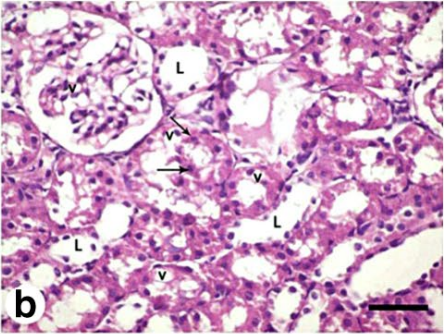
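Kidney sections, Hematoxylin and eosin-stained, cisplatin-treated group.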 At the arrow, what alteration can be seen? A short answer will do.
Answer: Pyknotic nuclei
